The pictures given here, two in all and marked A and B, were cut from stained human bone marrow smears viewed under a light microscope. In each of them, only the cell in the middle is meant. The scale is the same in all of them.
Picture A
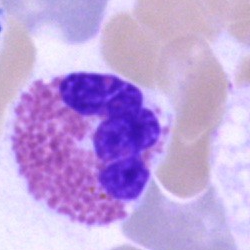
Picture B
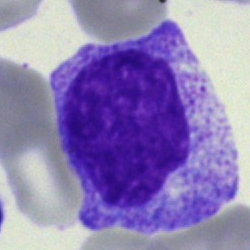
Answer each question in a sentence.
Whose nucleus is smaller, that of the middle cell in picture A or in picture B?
Picture A shows the smaller nucleus, since that in picture B covers about 2 times as much area.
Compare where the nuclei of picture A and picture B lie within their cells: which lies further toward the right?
It is the nucleus in picture A that lies further toward the right of its cell.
